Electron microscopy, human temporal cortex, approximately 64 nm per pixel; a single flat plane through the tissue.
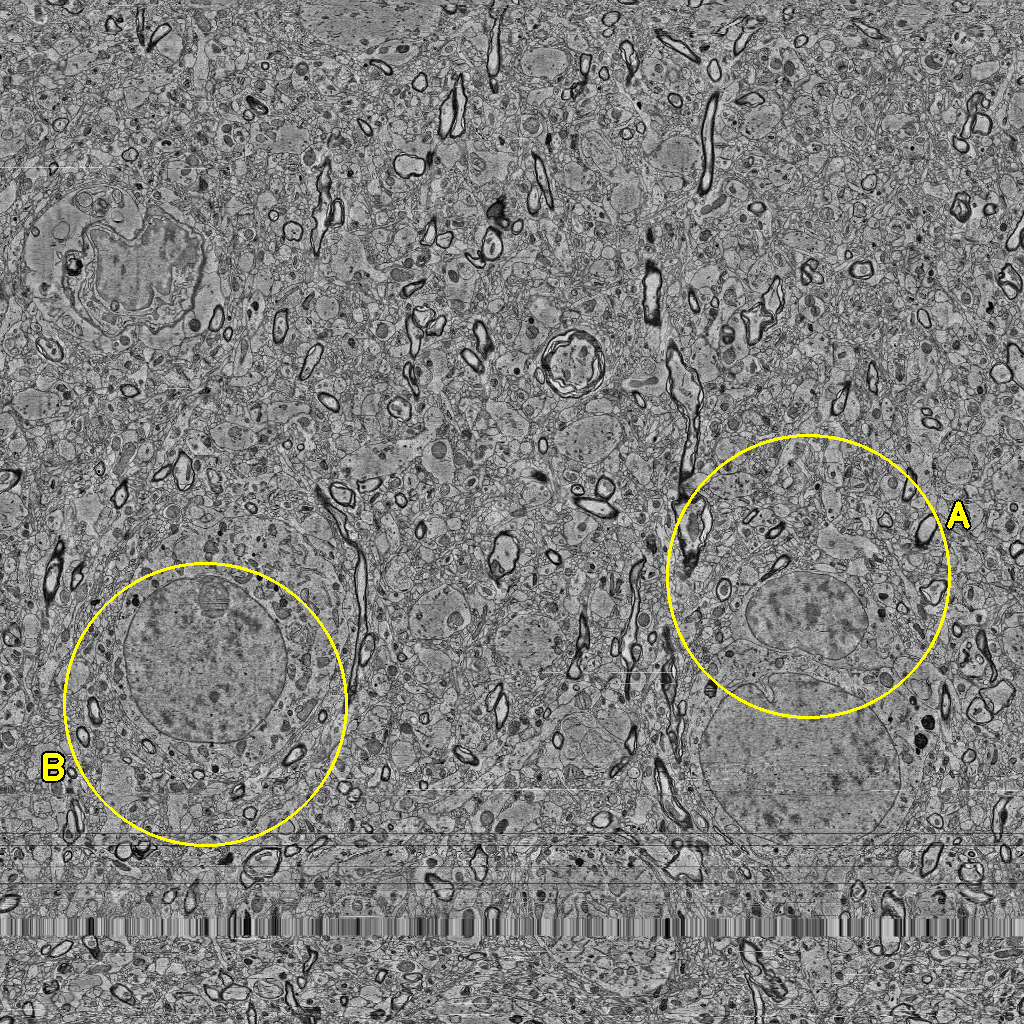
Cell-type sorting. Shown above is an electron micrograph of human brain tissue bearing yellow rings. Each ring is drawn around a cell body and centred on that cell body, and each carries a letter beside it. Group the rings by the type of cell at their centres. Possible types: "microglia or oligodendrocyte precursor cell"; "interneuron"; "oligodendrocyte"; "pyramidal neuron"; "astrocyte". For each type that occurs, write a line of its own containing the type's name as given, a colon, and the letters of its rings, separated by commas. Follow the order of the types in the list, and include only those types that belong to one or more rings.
interneuron: B
oligodendrocyte: A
